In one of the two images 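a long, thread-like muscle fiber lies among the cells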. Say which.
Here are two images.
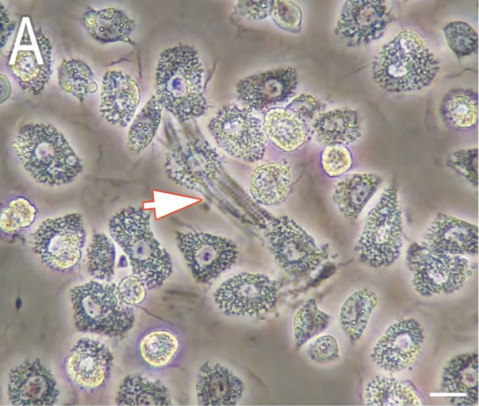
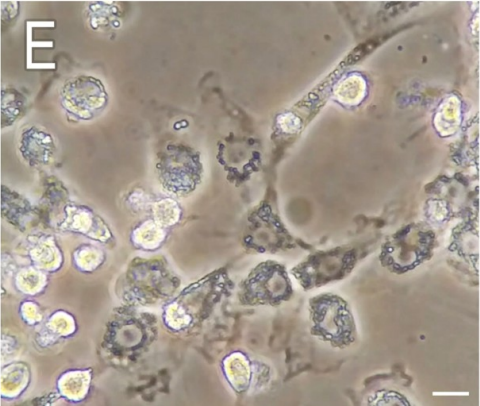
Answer: the first image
